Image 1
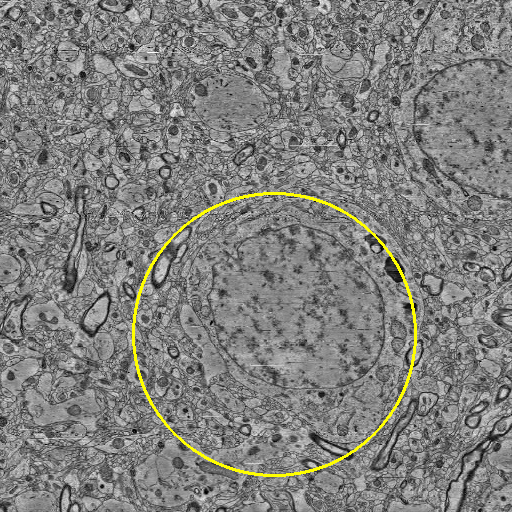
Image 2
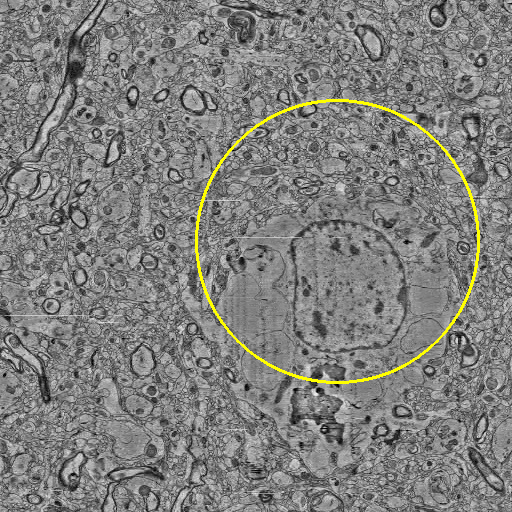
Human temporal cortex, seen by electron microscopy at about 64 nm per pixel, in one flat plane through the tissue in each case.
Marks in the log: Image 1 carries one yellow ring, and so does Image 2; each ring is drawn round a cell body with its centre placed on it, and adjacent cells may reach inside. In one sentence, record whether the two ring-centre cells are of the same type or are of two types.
The two cells at the ring centres, one in each image, are of two types.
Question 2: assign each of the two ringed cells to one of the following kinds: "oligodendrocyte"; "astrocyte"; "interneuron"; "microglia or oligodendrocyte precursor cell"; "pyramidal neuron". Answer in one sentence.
The two cells are a pyramidal neuron in the first picture and an astrocyte in the second.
